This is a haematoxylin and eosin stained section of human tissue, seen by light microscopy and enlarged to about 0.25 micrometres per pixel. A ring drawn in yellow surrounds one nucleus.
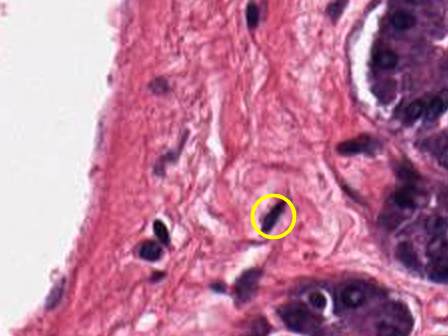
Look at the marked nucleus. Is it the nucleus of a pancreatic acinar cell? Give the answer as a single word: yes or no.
no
